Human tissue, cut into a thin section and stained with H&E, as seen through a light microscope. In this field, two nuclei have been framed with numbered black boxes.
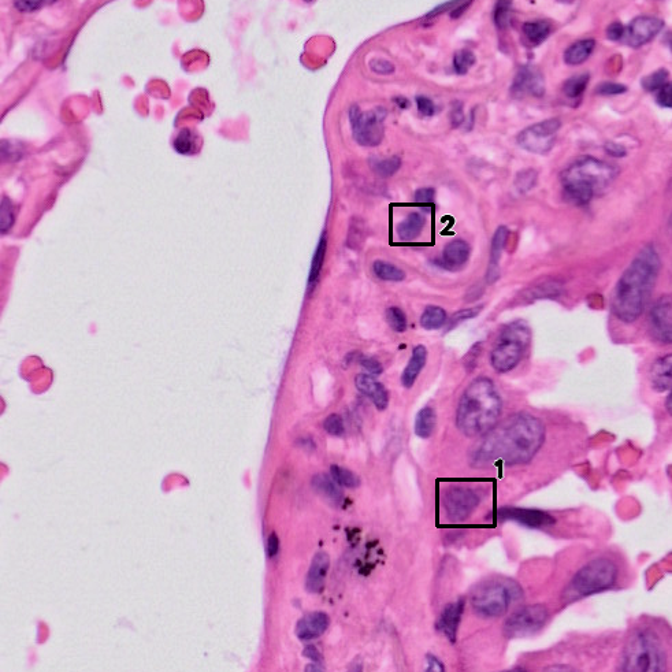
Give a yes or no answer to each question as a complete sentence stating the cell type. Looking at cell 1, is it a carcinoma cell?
Yes, the cell bearing the number 1 is a carcinoma cell.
